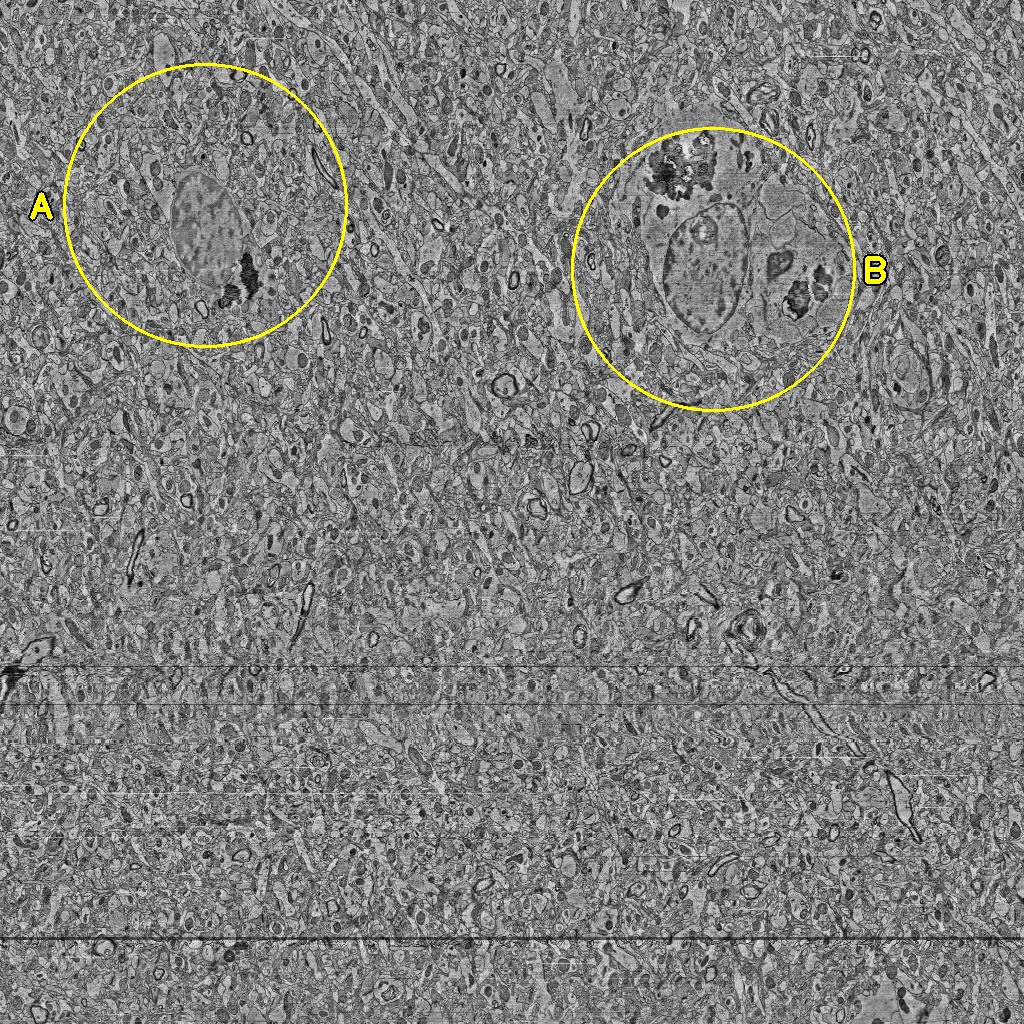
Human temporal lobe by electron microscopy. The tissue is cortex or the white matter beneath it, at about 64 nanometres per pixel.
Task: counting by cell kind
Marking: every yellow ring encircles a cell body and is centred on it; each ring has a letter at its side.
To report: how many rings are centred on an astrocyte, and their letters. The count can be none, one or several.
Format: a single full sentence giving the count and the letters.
Just one ring is centred on an astrocyte, with the letter B placed beside it.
